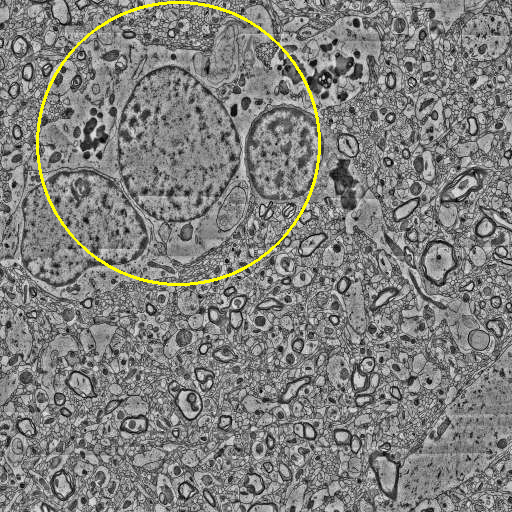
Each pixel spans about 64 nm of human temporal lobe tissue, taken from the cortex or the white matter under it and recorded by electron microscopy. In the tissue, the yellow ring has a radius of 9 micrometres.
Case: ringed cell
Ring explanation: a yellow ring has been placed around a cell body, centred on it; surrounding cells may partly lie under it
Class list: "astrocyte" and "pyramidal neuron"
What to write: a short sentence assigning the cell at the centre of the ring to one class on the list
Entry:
The cell at the ring's centre is an astrocyte.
